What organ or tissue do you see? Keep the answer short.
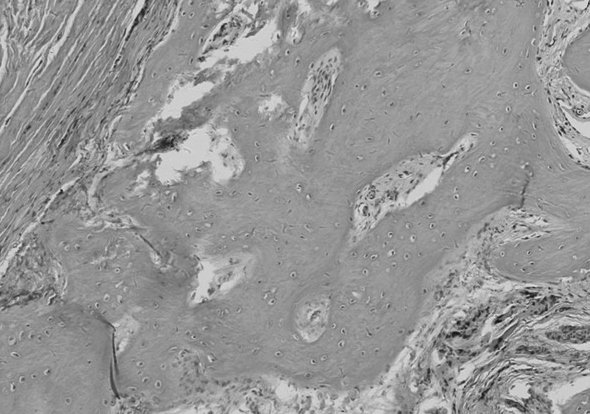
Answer: Osteoid and bone.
